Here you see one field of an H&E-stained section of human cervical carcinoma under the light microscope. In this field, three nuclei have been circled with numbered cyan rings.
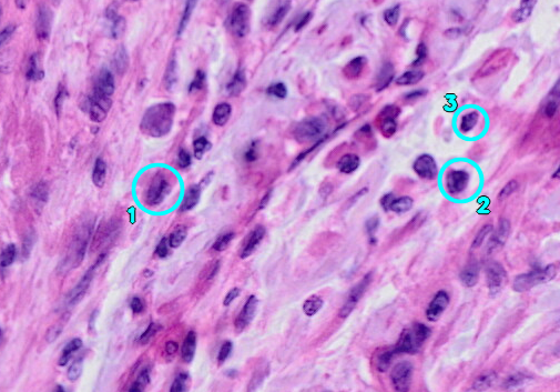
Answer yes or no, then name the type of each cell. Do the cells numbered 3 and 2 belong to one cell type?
Yes, both are lymphocytes.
